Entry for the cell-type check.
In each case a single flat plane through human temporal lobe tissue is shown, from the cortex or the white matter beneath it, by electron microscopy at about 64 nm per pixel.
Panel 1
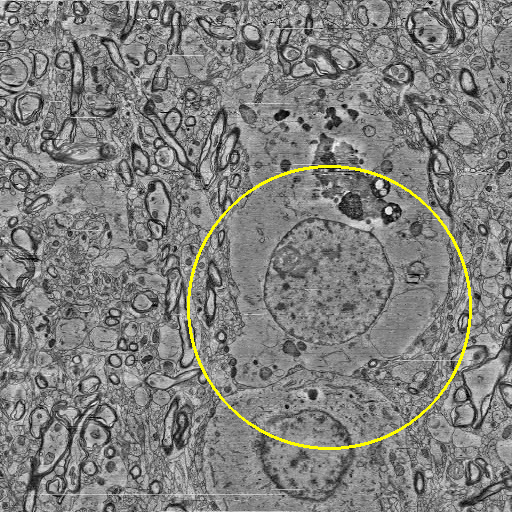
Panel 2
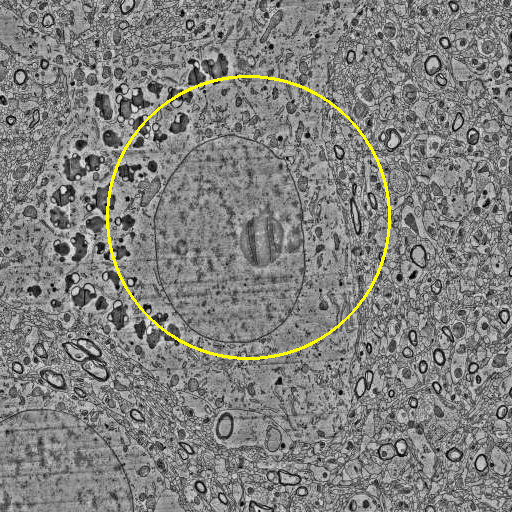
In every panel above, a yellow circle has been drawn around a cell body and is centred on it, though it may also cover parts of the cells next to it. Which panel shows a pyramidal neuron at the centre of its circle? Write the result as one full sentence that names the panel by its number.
Panel 2 shows it at the centre of its circle.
